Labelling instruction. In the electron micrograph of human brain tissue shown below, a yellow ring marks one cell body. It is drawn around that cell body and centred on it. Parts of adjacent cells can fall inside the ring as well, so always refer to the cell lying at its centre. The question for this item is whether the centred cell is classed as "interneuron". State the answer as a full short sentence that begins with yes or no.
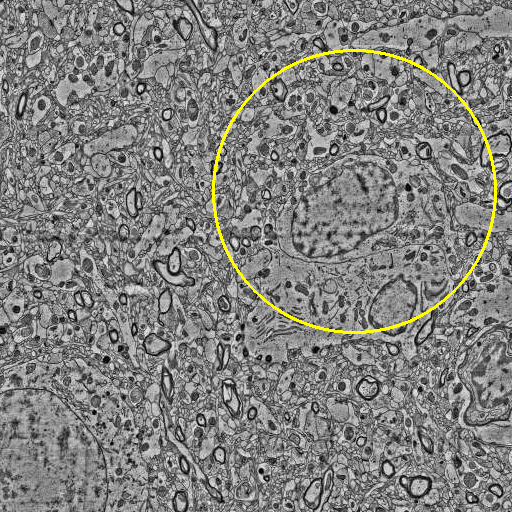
Yes, the centred cell is of that class.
